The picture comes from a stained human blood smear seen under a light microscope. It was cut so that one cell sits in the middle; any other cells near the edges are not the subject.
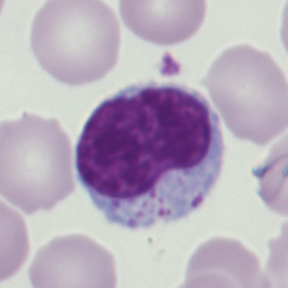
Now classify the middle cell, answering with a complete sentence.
As for the central cell, it is a large granular lymphocyte.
